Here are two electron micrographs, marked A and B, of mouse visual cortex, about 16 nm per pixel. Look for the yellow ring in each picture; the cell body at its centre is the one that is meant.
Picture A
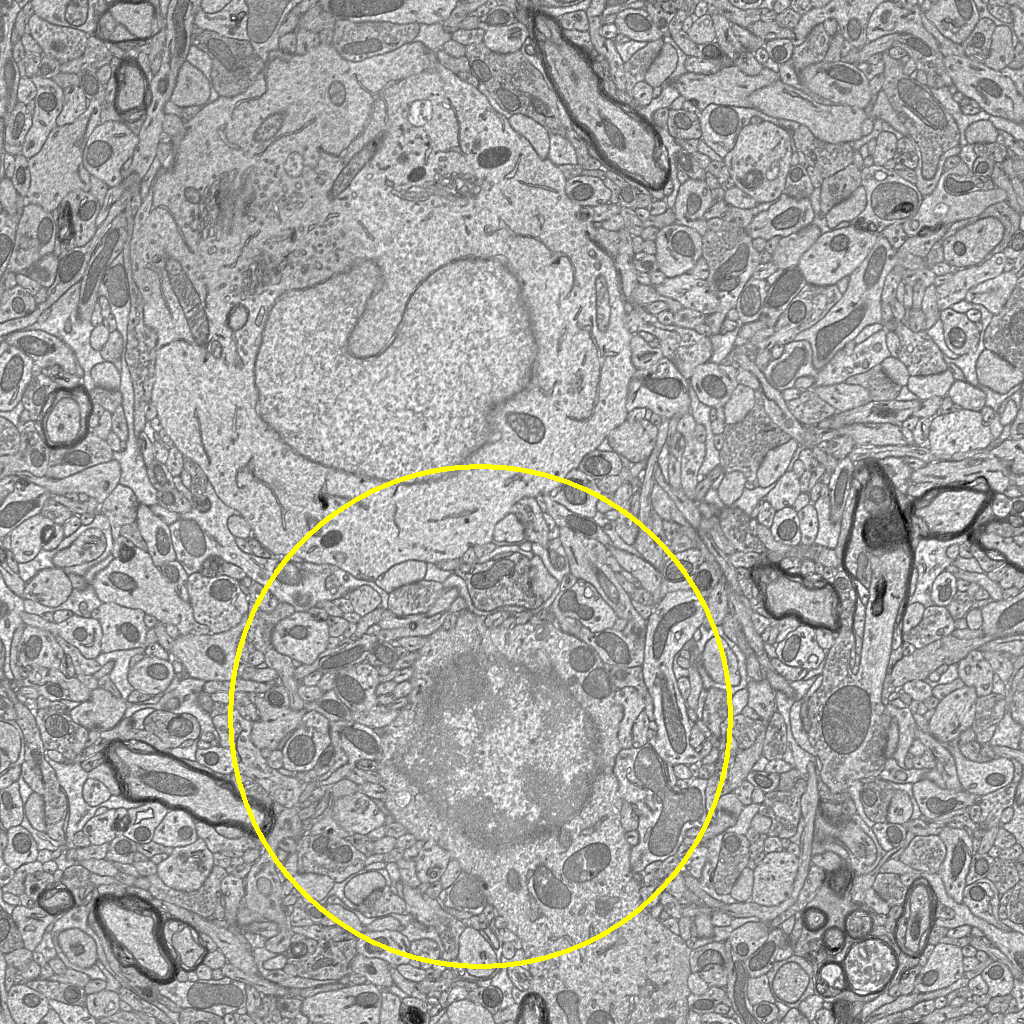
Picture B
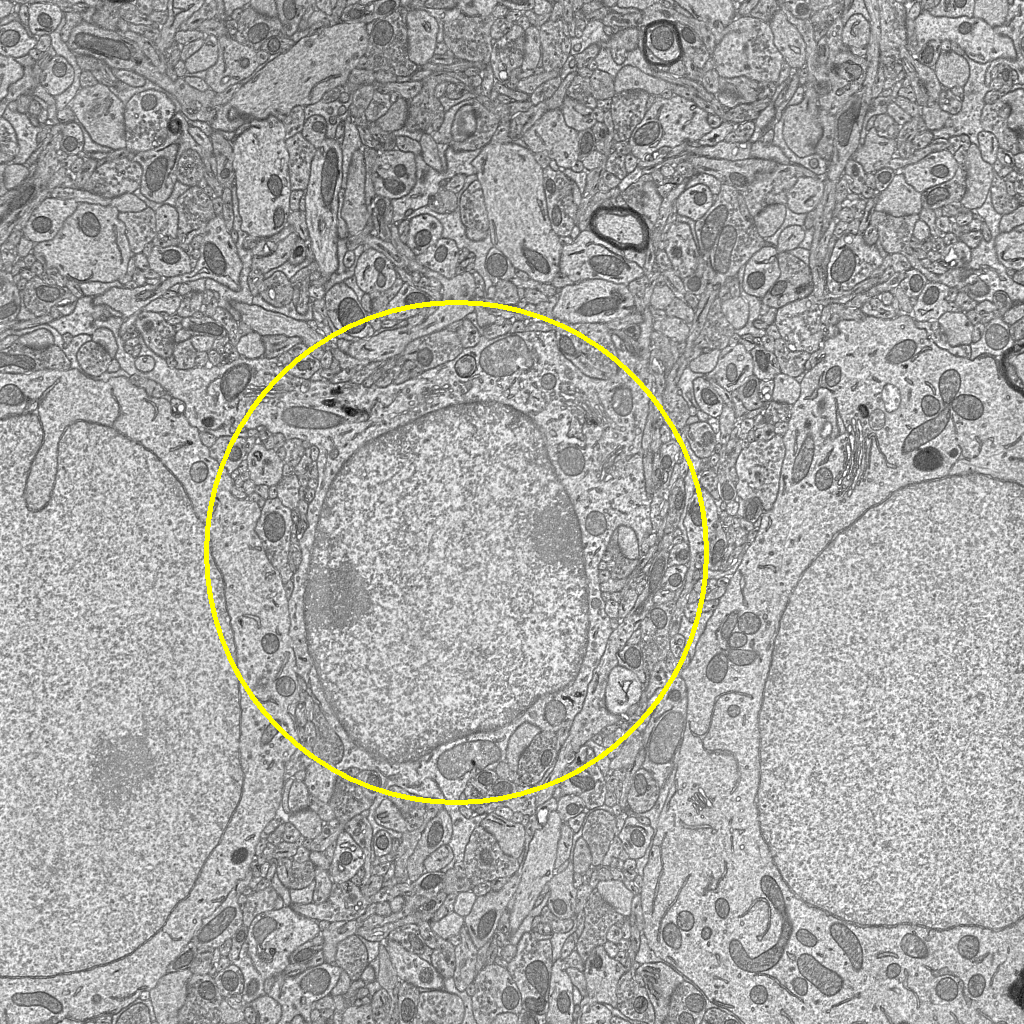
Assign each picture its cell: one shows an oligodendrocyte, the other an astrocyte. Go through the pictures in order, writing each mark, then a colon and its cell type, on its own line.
A: oligodendrocyte
B: astrocyte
